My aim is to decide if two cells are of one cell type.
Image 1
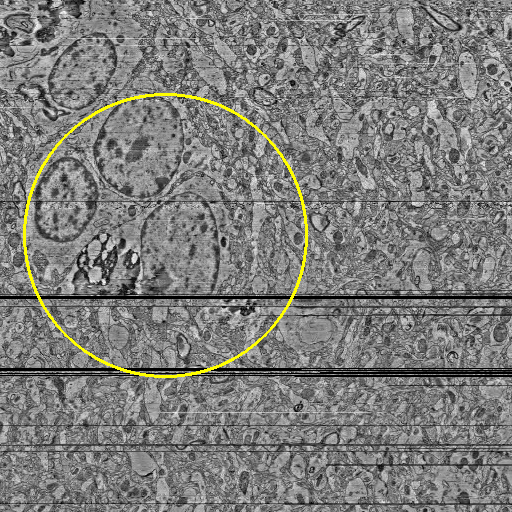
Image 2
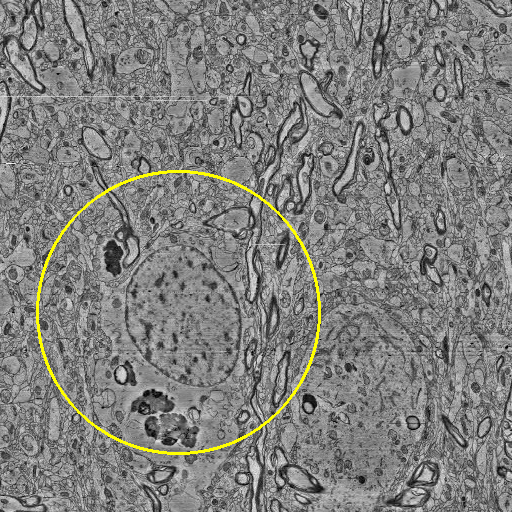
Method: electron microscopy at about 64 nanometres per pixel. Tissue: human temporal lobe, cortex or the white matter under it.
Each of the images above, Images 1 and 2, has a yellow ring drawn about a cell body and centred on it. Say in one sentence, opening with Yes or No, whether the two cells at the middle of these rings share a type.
Yes, in Images 1 and 2 the cells at the middle of the rings share one type.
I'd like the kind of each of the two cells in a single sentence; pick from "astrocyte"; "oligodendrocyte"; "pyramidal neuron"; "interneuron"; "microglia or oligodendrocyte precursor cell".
The cell at the ring centre is an astrocyte in both pictures.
